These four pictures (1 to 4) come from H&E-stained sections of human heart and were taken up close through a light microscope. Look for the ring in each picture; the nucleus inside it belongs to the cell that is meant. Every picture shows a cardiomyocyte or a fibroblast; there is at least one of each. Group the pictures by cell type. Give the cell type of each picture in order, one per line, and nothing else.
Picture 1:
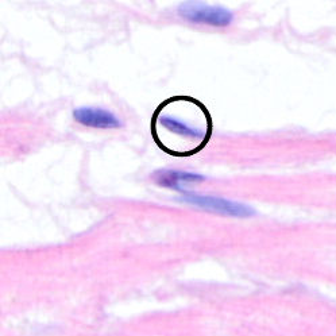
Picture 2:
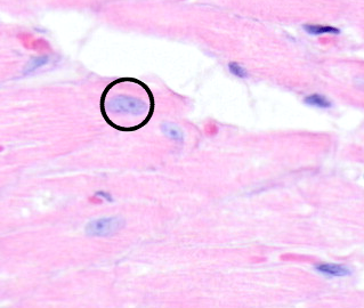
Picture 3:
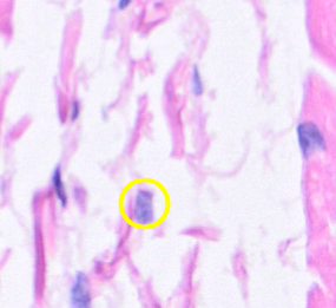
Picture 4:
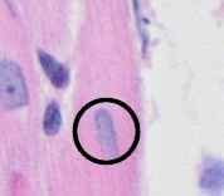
fibroblast
cardiomyocyte
fibroblast
cardiomyocyte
